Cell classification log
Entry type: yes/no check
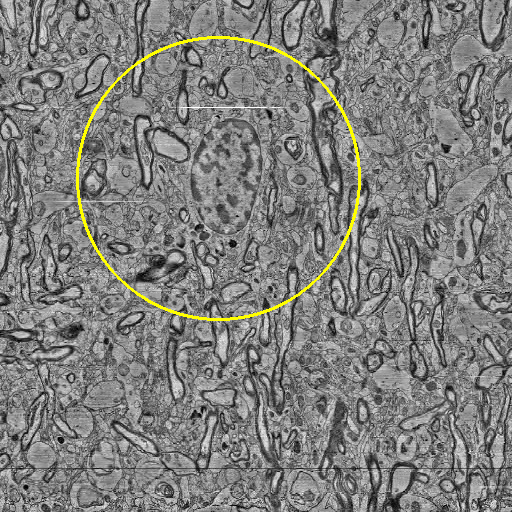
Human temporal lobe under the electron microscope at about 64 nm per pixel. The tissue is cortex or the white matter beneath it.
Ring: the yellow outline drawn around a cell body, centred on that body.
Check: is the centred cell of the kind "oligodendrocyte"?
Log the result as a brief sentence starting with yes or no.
No, the cell is of another kind.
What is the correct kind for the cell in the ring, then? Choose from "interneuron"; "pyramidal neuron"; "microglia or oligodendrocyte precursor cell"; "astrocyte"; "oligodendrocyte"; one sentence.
As it turns out, the cell at the ring centre is a microglial cell or oligodendrocyte precursor cell.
